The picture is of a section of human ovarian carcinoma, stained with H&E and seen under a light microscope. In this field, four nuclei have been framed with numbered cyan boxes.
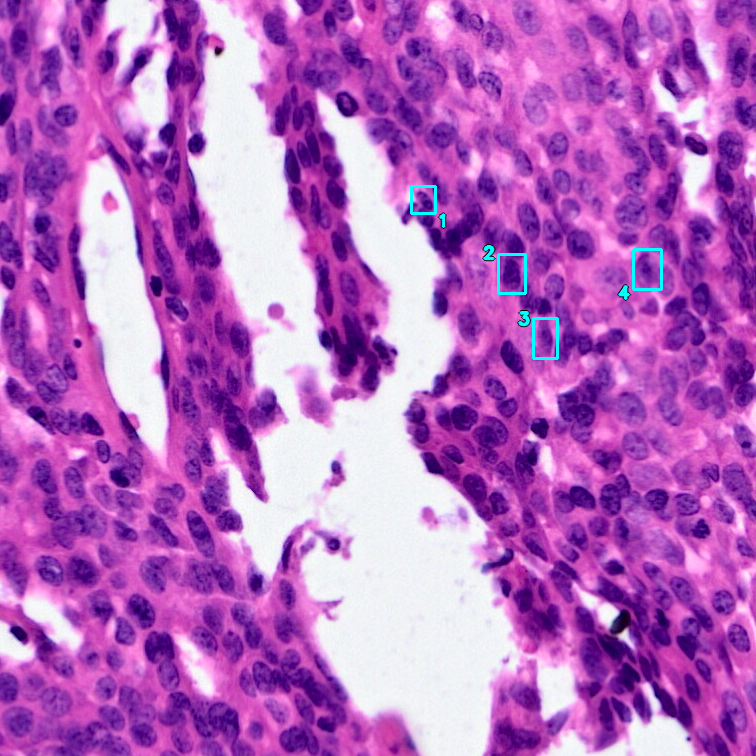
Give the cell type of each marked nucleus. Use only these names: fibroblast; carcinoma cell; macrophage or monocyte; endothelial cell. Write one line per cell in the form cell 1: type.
cell 1: macrophage or monocyte
cell 2: carcinoma cell
cell 3: carcinoma cell
cell 4: carcinoma cell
